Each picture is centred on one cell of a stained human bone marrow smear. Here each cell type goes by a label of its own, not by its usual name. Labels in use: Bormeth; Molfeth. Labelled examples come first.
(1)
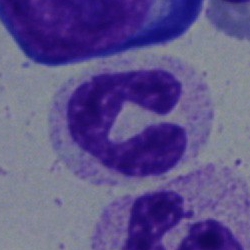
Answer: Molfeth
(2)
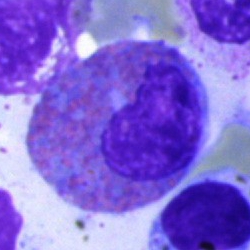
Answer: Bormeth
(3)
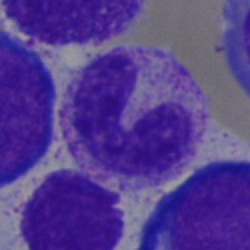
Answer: Molfeth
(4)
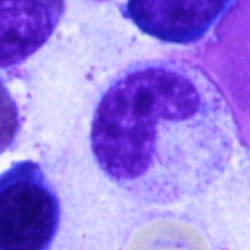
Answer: Molfeth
